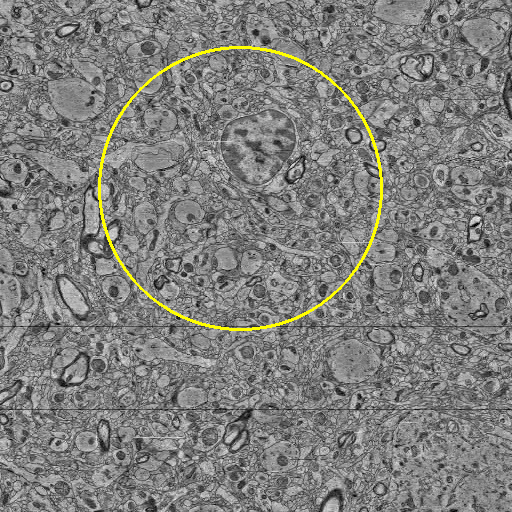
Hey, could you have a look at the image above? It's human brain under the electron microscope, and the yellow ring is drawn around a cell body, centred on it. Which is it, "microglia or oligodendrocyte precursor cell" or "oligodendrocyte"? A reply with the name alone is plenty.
microglia or oligodendrocyte precursor cell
